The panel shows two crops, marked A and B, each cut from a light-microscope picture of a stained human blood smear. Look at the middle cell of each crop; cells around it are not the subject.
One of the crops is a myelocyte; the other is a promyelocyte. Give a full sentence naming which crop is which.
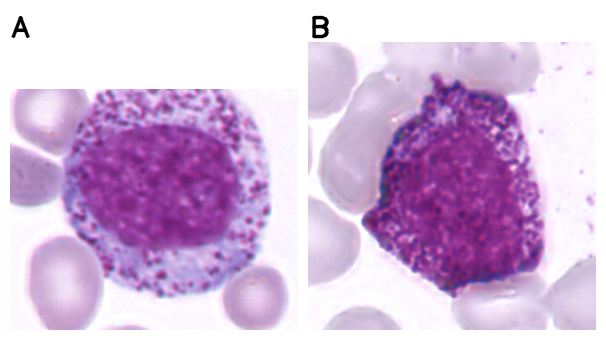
The cell centred in crop A is a promyelocyte, while the one centred in crop B is a myelocyte.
